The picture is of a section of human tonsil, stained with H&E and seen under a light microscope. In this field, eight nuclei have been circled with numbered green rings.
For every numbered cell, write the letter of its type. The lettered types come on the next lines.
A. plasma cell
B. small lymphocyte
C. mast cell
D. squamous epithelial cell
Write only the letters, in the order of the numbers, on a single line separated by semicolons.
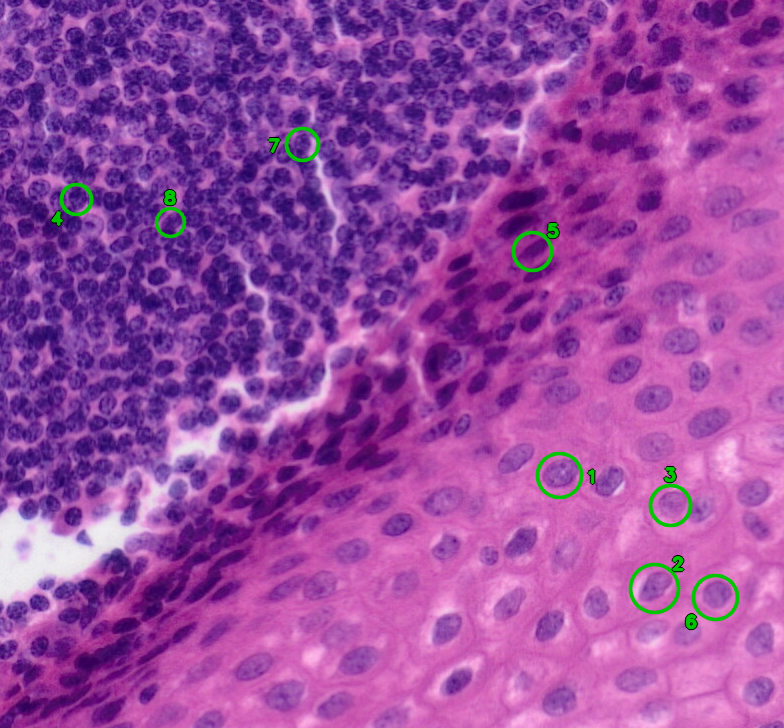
D; D; D; B; D; D; B; B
